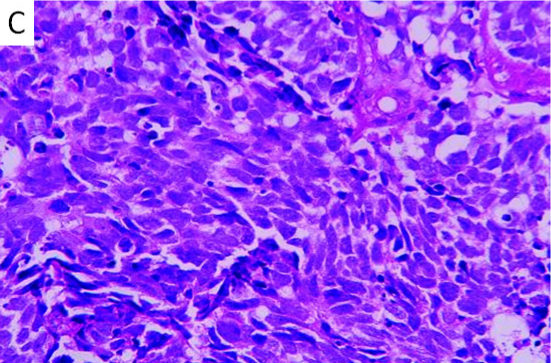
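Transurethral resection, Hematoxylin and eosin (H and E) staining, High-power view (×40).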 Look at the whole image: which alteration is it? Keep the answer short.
prominent nuclear moulding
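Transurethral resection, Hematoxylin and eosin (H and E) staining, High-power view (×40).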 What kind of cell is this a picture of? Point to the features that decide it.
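Crowded cells with dark, oval to elongated nuclei. Very little cytoplasm around the nuclei. Some cells are spindle-shaped.
Small cell carcinoma.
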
